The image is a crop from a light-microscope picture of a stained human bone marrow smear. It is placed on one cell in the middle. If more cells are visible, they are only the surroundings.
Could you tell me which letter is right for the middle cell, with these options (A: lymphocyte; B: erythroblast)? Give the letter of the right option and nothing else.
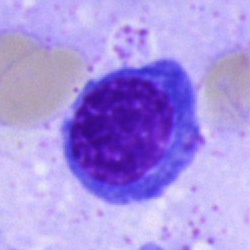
B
